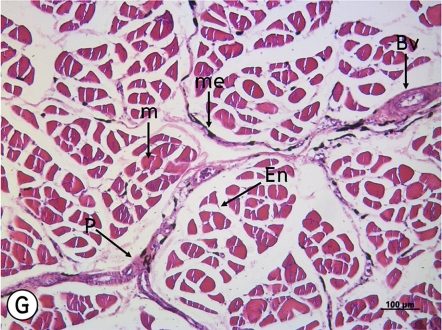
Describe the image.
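This is striated muscle in cross-section, with pink polygonal muscle fibers grouped in rounded bundles surrounded by pale connective tissue. Wide clear septa of perimysium separate the bundles, and thinner endomysium lies between single fibers. A small blood vessel with a wall of several layers sits in the connective tissue at the upper right. Black elongated pigment deposits lie along the connective tissue septa around the bundles and near the vessel. The muscle fibers themselves show no black pigment.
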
